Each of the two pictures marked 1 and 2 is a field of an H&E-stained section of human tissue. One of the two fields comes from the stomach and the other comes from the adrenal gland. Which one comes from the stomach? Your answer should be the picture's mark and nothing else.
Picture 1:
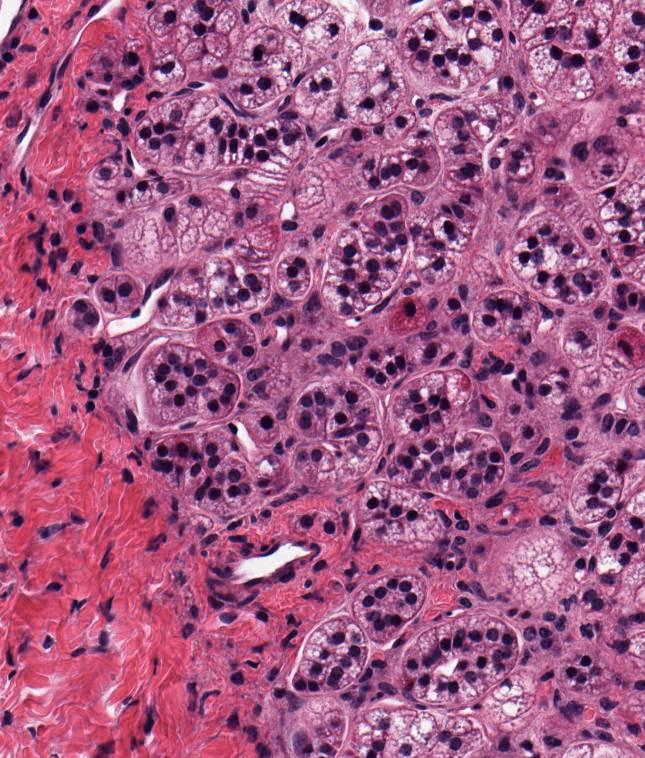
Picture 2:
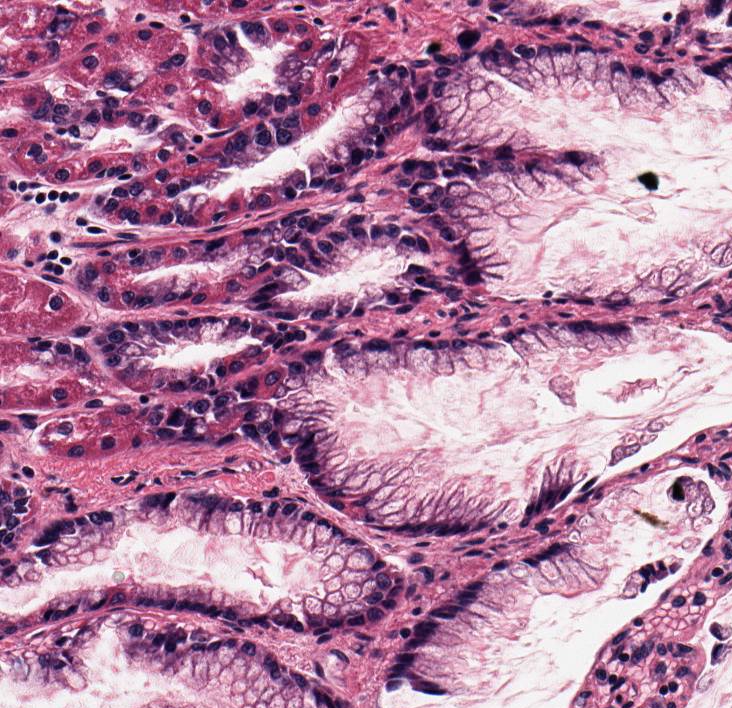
2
